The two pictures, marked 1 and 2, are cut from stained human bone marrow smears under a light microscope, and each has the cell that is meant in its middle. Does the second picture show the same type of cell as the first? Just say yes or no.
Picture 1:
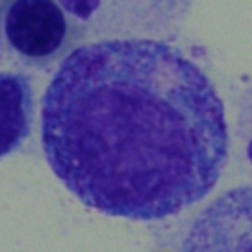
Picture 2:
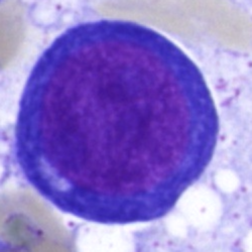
no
